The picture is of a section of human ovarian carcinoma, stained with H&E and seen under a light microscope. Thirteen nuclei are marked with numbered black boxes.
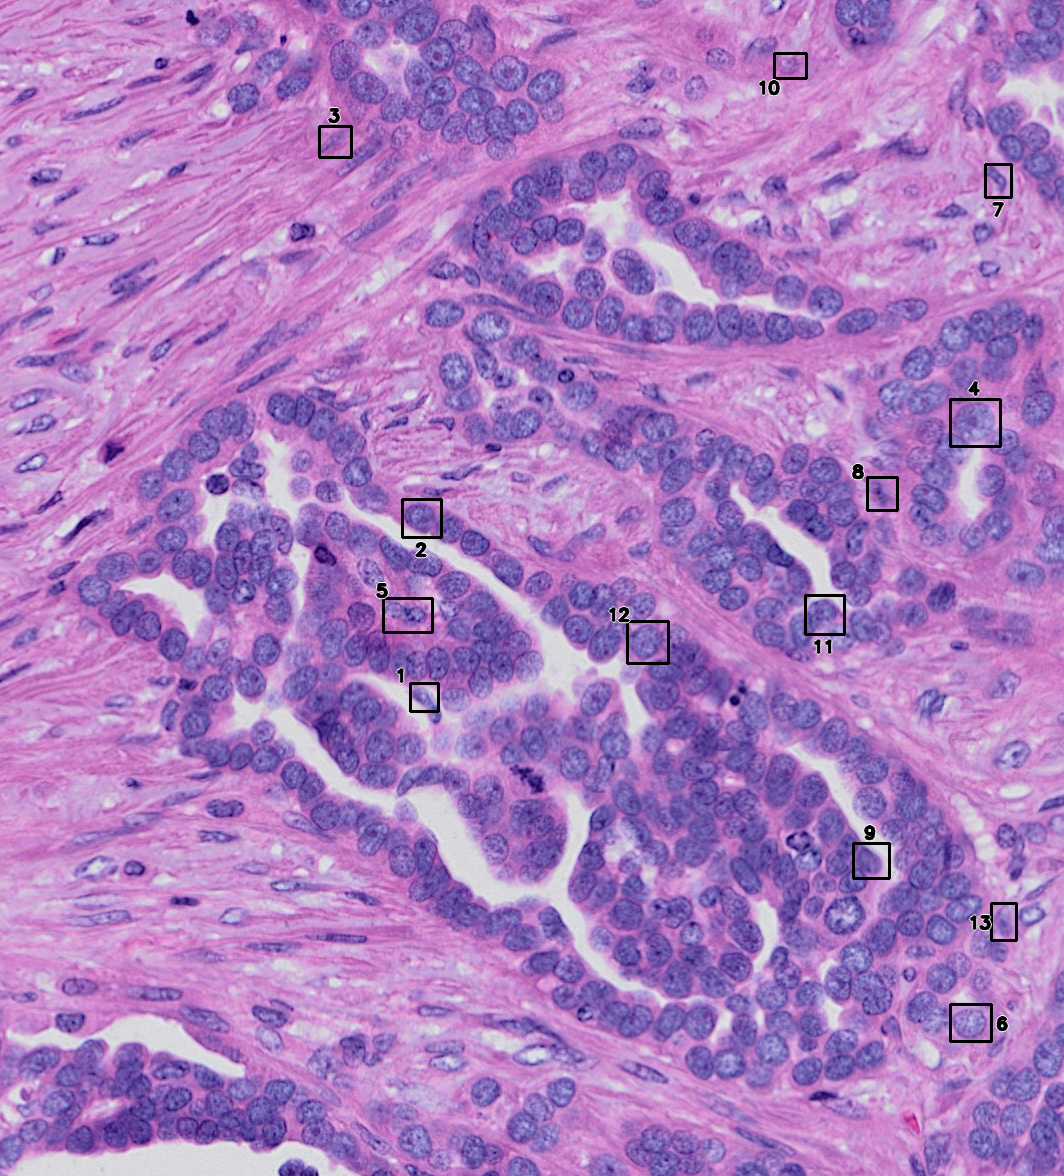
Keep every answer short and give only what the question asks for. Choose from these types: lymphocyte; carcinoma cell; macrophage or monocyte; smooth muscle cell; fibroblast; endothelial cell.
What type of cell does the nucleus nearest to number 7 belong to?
carcinoma cell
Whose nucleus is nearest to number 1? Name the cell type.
macrophage or monocyte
